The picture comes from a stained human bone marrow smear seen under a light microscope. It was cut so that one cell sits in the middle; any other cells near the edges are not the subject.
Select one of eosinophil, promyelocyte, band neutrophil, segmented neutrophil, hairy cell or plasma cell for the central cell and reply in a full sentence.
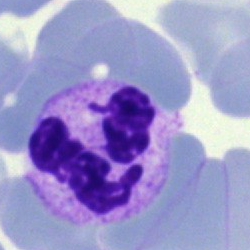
Occupying the centre of the crop is a segmented neutrophil.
